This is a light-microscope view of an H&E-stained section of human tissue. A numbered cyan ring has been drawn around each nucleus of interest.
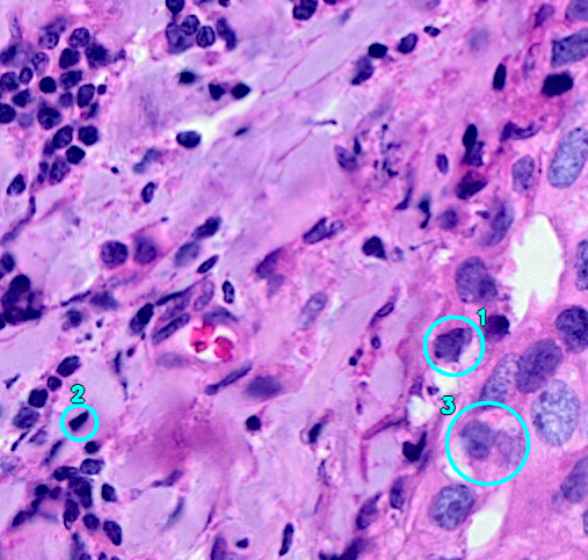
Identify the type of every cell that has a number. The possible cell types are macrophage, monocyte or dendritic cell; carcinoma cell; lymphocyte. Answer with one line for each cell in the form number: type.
1: carcinoma cell
2: lymphocyte
3: carcinoma cell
